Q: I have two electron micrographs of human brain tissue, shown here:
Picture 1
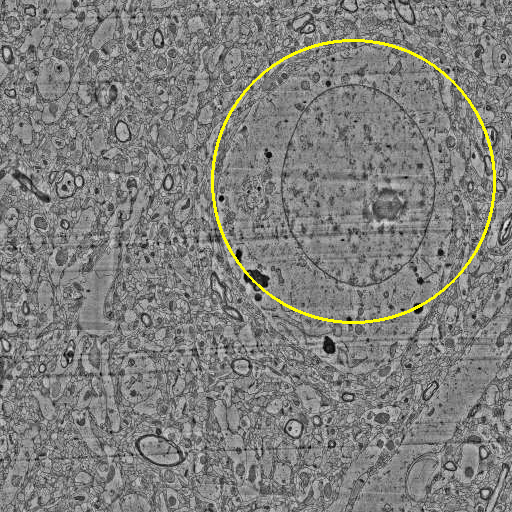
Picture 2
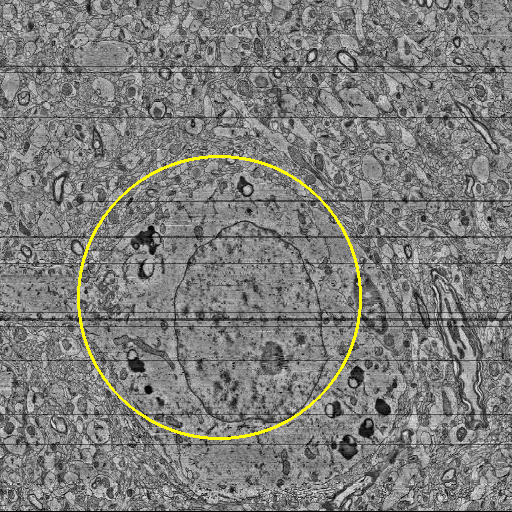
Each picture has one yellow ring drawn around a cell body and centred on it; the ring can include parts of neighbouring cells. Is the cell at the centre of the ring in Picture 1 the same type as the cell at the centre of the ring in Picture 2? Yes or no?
yes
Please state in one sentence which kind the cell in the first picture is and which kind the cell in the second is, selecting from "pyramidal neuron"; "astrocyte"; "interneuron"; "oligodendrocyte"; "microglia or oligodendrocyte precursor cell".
The first and the second cell are each a pyramidal neuron.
